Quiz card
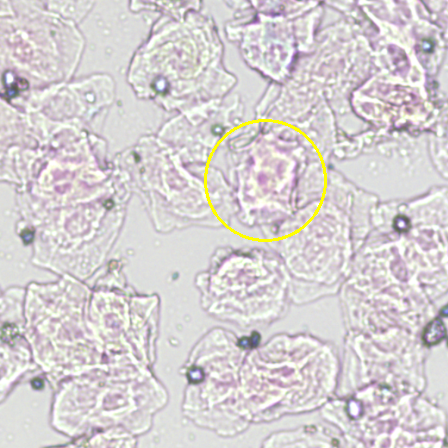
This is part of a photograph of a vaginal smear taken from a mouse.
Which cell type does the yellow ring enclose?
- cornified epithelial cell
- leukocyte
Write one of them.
cornified epithelial cell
